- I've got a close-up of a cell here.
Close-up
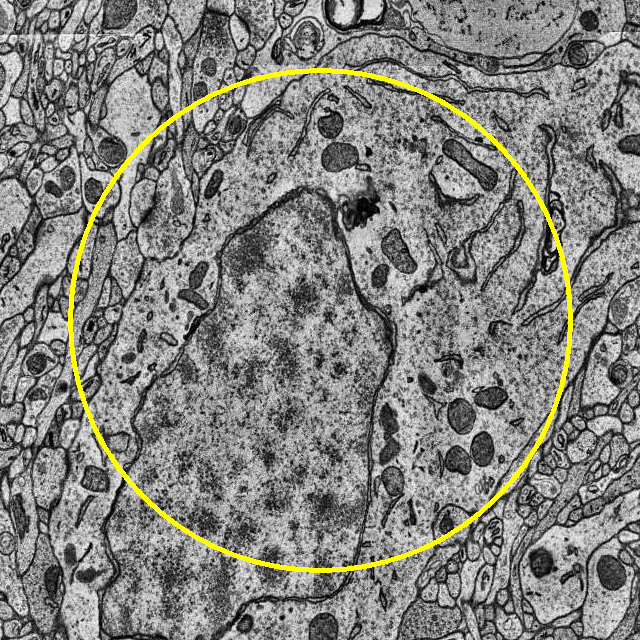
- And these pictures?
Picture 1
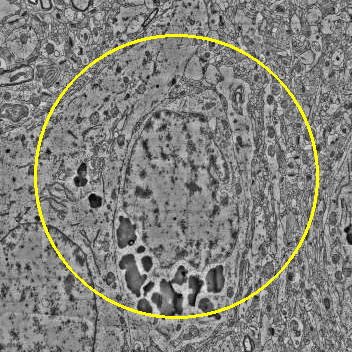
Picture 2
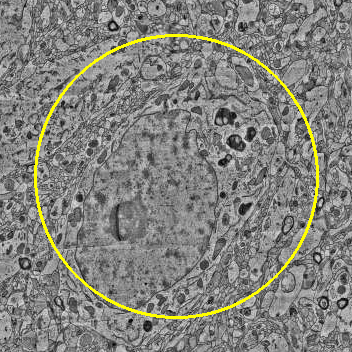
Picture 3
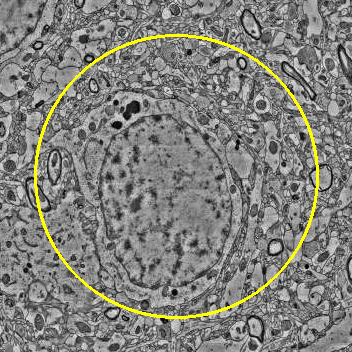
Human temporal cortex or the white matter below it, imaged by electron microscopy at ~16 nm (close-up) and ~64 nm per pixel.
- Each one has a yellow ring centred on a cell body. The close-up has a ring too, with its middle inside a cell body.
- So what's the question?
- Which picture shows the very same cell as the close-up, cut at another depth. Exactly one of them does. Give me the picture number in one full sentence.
Among the marked cells, the one enlarged in the close-up sits in Picture 2.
